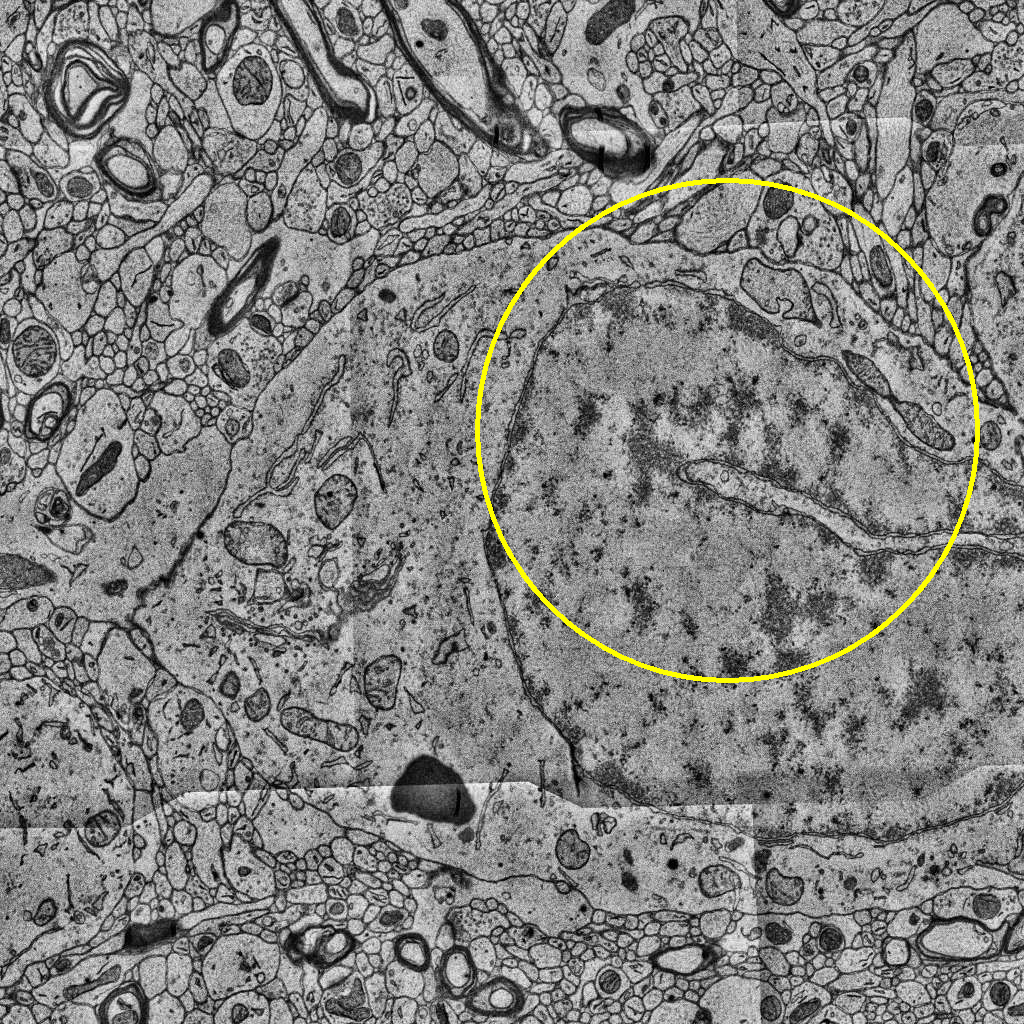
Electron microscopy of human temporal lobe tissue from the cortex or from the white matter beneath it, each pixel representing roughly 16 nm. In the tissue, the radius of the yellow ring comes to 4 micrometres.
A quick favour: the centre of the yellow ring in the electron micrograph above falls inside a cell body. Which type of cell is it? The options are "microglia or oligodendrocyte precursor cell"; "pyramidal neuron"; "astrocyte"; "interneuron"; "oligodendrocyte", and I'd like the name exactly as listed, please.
interneuron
